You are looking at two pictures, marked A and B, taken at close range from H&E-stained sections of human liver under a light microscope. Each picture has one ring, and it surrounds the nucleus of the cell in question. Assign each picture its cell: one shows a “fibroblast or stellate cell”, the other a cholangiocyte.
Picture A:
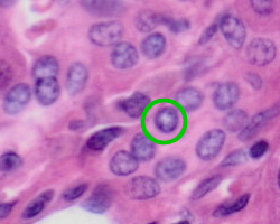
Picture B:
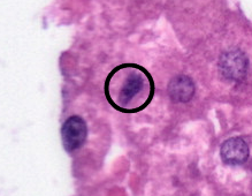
A: cholangiocyte
B: fibroblast or stellate cell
